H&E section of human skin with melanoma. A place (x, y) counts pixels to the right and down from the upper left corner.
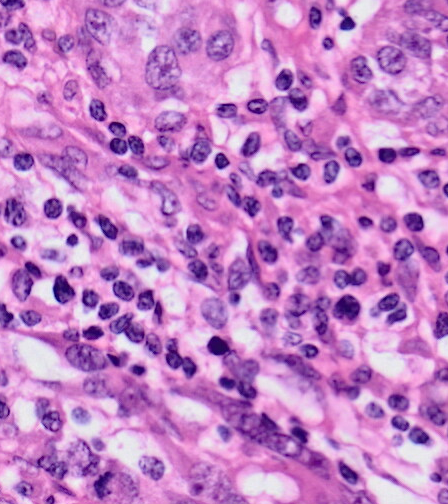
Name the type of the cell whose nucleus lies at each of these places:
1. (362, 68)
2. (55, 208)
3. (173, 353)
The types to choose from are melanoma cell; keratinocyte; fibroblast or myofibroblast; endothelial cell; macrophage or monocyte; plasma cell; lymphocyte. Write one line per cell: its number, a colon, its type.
1: melanoma cell
2: lymphocyte
3: lymphocyte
